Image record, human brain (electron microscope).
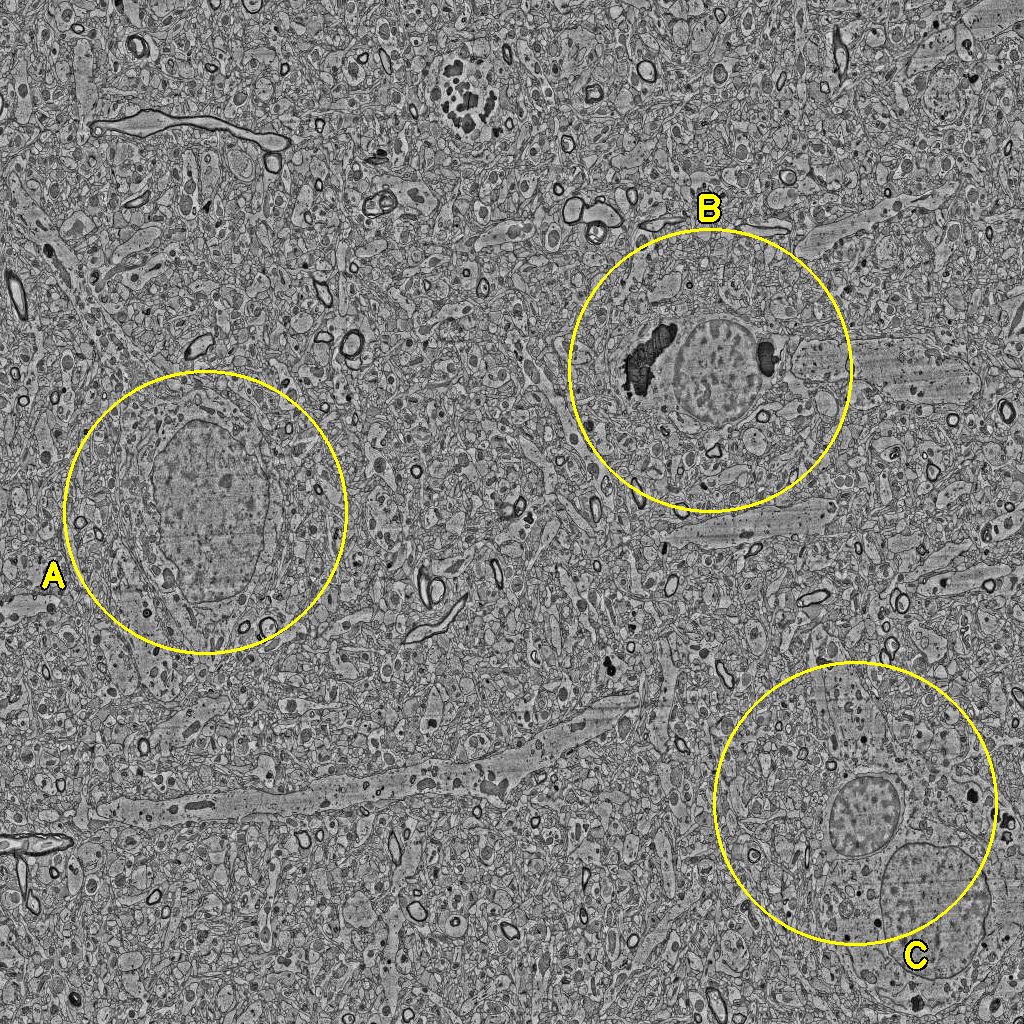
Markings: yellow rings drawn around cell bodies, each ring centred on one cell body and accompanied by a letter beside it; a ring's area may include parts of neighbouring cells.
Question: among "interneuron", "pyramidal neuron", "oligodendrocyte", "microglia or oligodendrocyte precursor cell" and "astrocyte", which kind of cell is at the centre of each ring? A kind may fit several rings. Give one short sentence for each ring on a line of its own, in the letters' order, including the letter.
Ring A is centred on the cell body of an interneuron.
Ring B is centred on the cell body of an oligodendrocyte.
Ring C is centred on the cell body of an oligodendrocyte.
